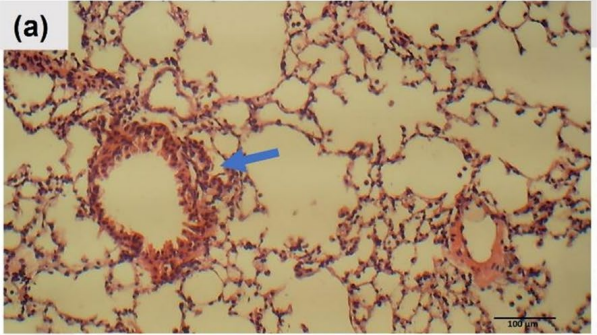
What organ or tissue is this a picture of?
lung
